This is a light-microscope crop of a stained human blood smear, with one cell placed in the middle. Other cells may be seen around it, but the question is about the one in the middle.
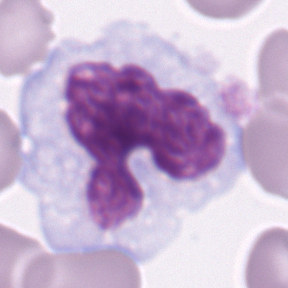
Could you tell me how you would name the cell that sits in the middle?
monocyte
